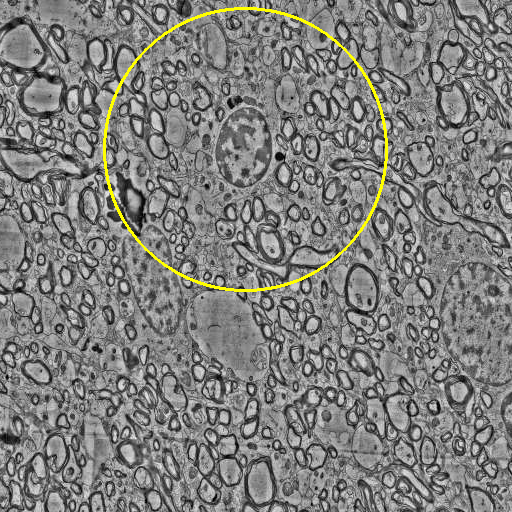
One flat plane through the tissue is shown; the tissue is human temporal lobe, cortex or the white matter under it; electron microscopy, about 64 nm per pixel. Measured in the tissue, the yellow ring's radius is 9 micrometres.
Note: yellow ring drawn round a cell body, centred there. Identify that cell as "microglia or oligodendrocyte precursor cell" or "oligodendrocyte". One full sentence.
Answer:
The cell in the middle of the ring is a microglial cell or oligodendrocyte precursor cell.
